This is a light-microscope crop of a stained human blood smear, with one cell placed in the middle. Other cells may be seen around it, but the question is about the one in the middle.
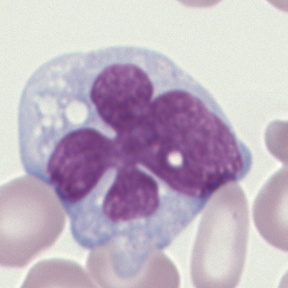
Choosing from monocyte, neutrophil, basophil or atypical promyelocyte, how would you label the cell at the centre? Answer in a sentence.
This crop's central cell is a monocyte.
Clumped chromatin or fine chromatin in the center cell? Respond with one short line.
Answer: the chromatin is fine and has no coarse clumps.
